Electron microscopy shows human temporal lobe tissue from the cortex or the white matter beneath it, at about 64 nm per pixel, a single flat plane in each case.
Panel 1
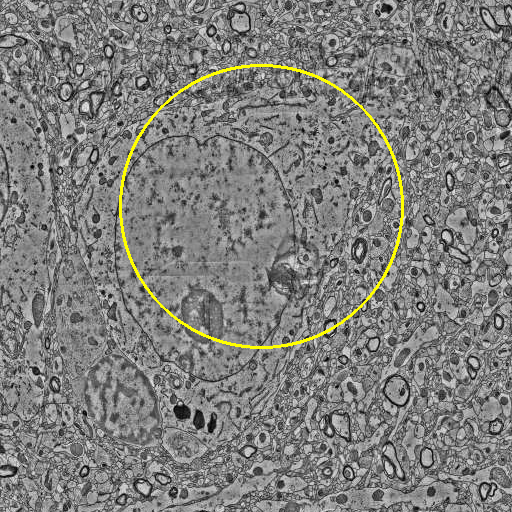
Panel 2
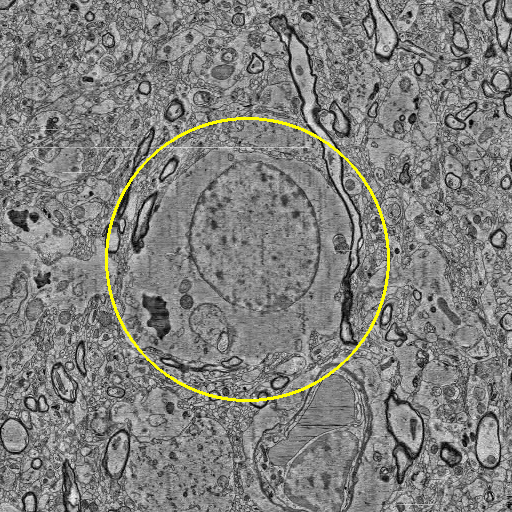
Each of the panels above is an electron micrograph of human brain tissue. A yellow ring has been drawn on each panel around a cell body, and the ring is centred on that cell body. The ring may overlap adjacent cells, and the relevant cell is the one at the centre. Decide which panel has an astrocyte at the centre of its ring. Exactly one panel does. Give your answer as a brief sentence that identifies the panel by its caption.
Panel 2 is the one with it at the centre of the ring.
